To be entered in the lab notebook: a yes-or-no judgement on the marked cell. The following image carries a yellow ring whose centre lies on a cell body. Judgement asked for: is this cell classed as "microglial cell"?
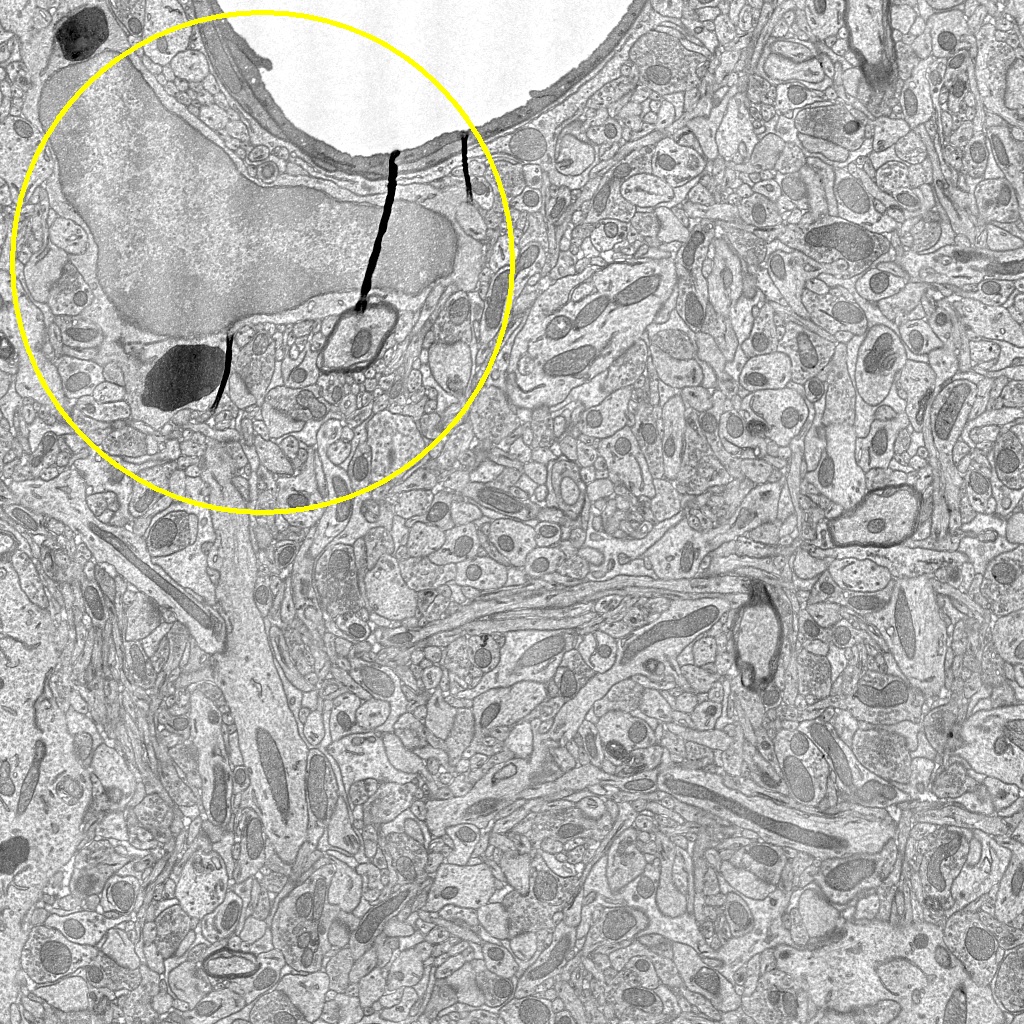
Yes, it is classed that way.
